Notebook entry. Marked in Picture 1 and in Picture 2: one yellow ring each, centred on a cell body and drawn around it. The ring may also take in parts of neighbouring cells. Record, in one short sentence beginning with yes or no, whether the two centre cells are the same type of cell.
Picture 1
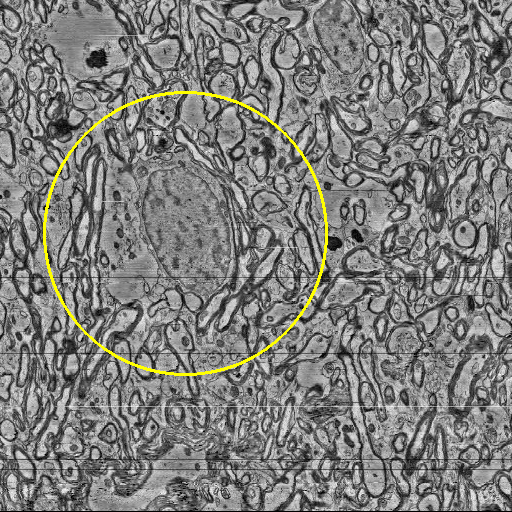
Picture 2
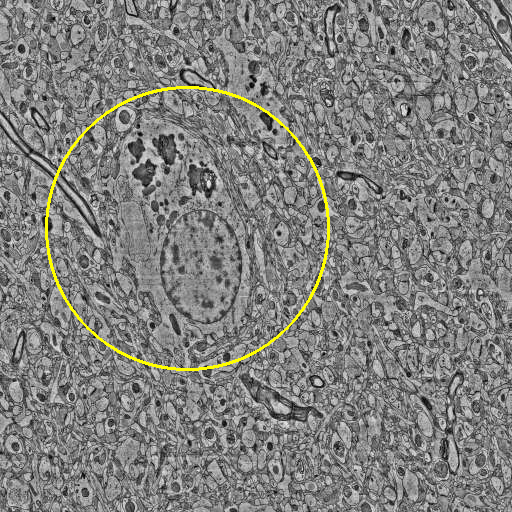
No, they are two types of cell.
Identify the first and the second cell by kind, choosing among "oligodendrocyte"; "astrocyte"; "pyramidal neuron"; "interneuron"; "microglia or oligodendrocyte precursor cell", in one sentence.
The one in the first picture is an oligodendrocyte, while the one in the second is an astrocyte.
